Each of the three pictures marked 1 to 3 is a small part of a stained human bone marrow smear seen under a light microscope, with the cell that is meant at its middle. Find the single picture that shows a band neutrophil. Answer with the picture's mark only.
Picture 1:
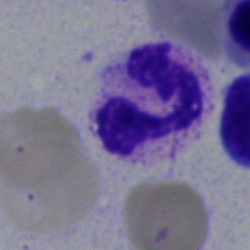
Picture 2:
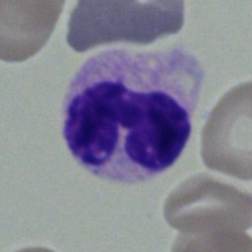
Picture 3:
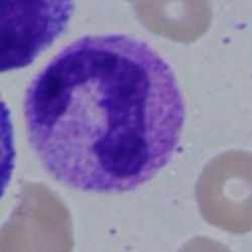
3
